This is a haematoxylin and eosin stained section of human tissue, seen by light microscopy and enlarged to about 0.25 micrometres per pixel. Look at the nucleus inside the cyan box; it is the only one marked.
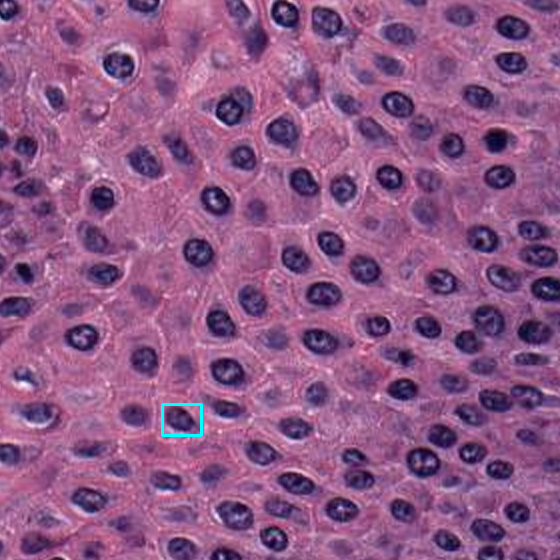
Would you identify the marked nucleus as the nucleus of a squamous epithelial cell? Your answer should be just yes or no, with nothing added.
yes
